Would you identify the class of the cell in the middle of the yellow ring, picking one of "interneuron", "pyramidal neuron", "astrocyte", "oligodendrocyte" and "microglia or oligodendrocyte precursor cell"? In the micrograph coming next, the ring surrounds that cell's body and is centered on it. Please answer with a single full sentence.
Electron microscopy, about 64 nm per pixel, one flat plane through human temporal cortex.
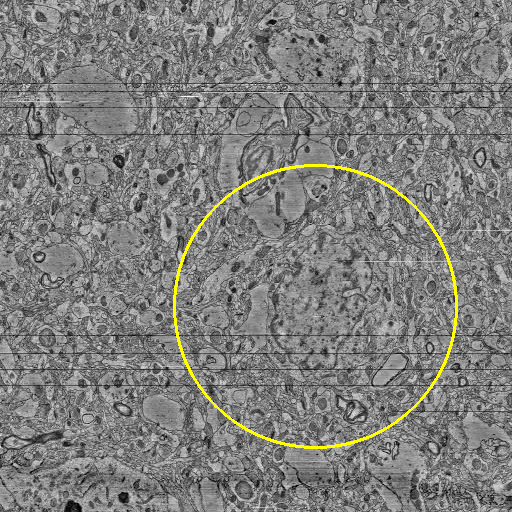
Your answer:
In the micrograph, it is an interneuron whose body lies at the ring's center.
